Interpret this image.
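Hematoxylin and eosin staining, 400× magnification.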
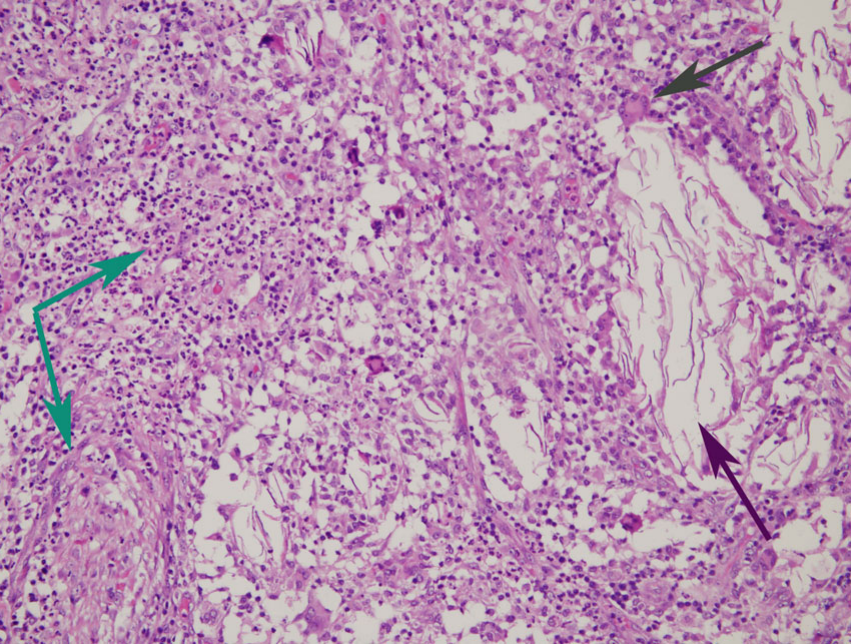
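This is a dense mixed inflammatory infiltrate of neutrophils with small dark lobed nuclei, histiocytes with abundant pale pink cytoplasm, and scattered large multinucleated giant cells. The inflammation is centred on aggregates of pale pink, thin, wavy flakes without nuclei, which are anucleate squamous cells, and giant cells lie at their edges.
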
